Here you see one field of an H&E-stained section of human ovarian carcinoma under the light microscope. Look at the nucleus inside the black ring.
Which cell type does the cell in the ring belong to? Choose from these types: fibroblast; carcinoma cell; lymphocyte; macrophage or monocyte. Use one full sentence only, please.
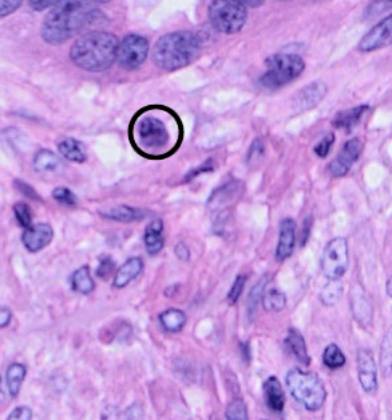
Cell type answer for this item: the cell in the ring is a lymphocyte.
